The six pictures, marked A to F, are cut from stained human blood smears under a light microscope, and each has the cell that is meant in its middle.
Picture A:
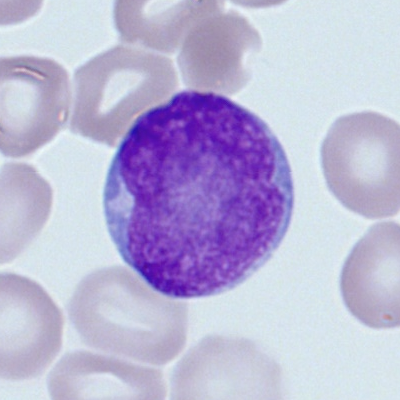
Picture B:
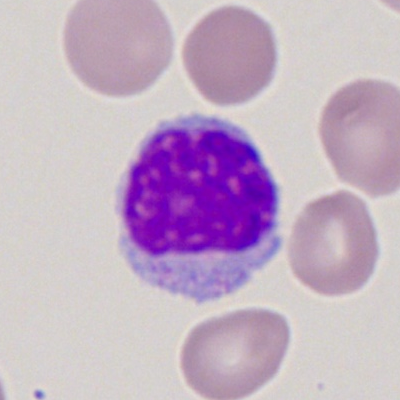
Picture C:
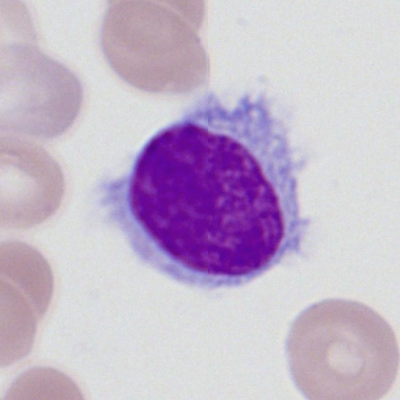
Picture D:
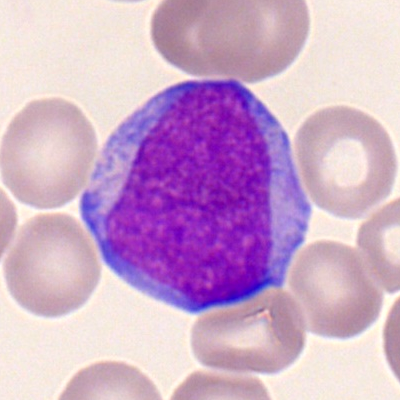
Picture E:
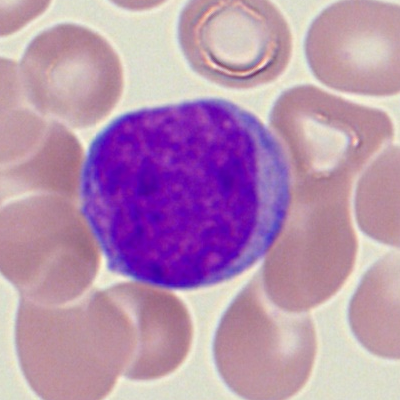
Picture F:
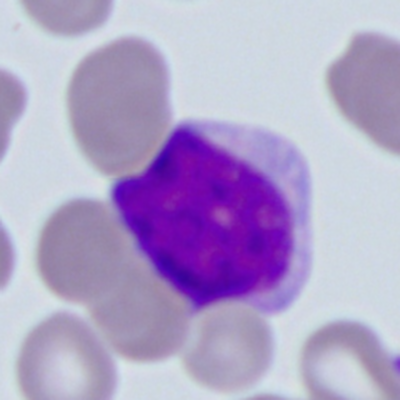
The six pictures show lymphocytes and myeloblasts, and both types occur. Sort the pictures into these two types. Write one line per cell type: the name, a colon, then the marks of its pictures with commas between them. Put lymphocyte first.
lymphocyte: B, C
myeloblast: A, D, E, F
